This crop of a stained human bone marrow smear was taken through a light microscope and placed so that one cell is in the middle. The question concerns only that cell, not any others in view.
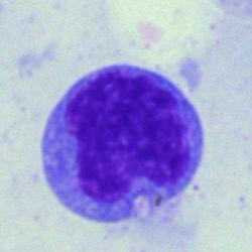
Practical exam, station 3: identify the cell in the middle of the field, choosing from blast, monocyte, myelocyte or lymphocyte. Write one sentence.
The cell the crop is centered on is a monocyte.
